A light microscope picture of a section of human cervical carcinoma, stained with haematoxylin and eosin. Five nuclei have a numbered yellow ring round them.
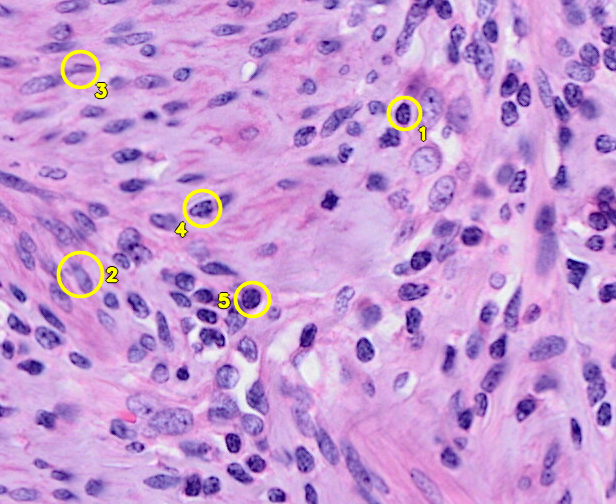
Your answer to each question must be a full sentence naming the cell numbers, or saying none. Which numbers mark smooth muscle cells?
Cells numbered 2 and 3 belong to the group of smooth muscle cells.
